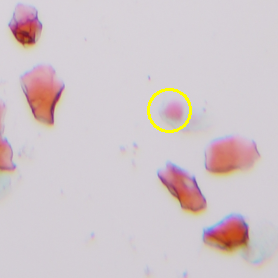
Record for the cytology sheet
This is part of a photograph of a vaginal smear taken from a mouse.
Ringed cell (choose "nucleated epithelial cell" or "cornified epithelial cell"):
nucleated epithelial cell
